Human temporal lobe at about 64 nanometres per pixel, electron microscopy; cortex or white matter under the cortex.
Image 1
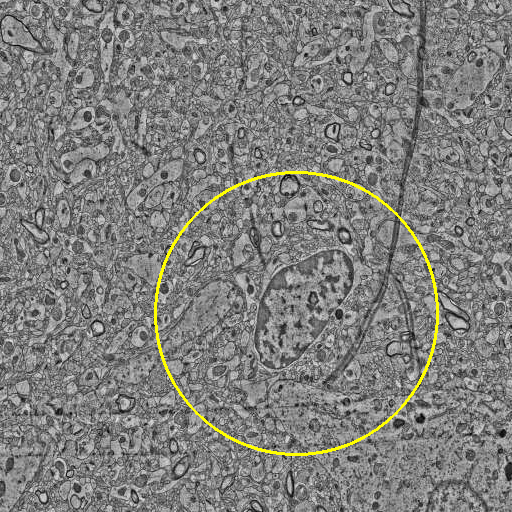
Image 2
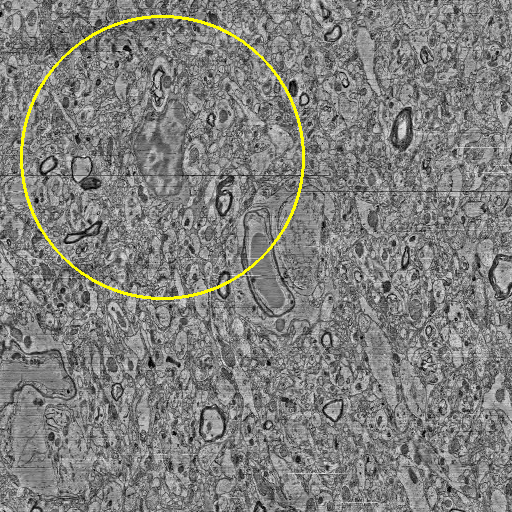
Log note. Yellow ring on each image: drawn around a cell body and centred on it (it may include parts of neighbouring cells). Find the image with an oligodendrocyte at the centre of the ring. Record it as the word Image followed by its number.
Image 2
